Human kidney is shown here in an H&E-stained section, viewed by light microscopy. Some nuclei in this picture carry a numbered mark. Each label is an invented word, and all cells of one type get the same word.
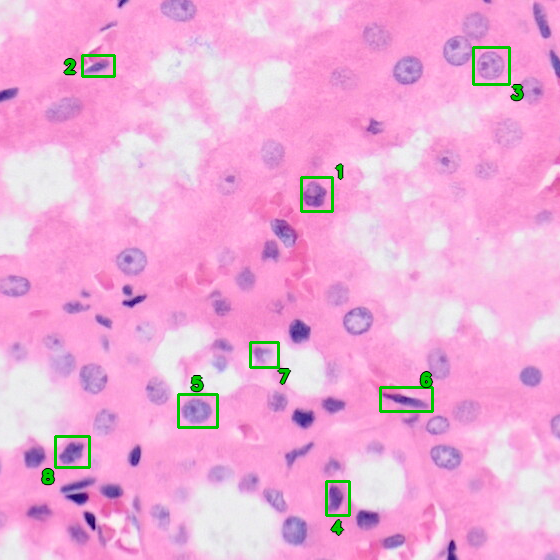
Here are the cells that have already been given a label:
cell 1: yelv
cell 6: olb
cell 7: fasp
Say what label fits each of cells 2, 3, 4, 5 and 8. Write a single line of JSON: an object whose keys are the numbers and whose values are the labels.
{"2": "olb", "3": "yelv", "4": "fasp", "5": "fasp", "8": "fasp"}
